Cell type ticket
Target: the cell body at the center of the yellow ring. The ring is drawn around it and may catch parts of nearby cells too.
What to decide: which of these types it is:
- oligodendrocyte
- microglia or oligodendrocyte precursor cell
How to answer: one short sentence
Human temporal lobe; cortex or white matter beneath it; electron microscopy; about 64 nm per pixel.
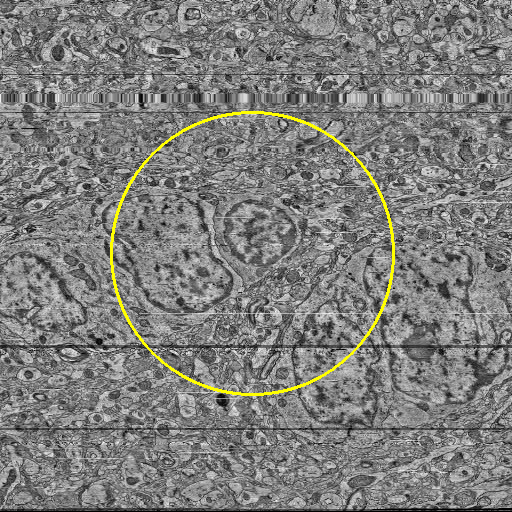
The cell at the center of the ring is an oligodendrocyte.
